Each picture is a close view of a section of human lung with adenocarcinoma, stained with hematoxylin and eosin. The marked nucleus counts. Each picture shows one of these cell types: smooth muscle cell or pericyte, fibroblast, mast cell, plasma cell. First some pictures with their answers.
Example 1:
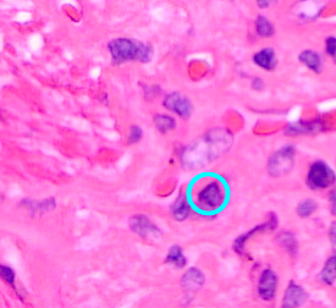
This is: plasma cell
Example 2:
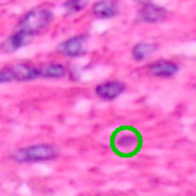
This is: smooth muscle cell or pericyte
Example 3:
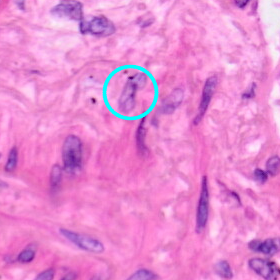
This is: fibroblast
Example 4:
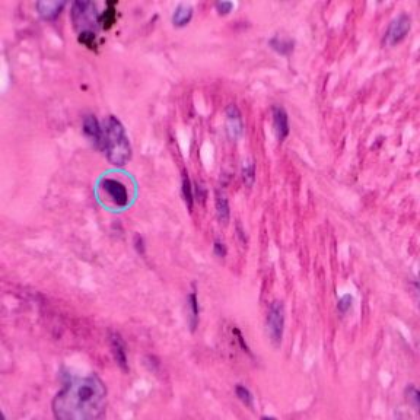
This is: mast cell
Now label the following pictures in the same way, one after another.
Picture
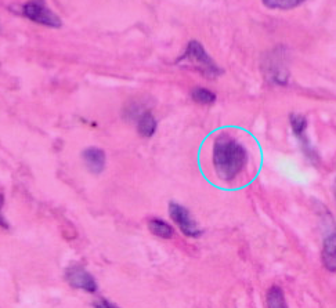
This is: fibroblast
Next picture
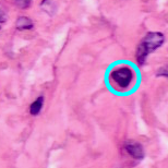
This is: plasma cell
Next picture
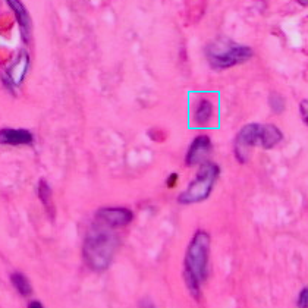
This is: mast cell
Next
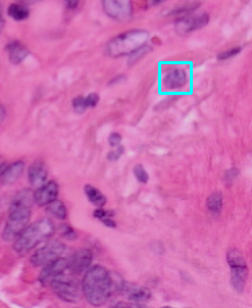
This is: mast cell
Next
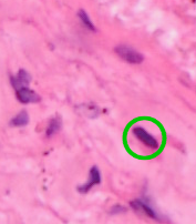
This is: mast cell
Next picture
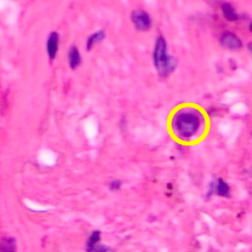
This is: plasma cell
